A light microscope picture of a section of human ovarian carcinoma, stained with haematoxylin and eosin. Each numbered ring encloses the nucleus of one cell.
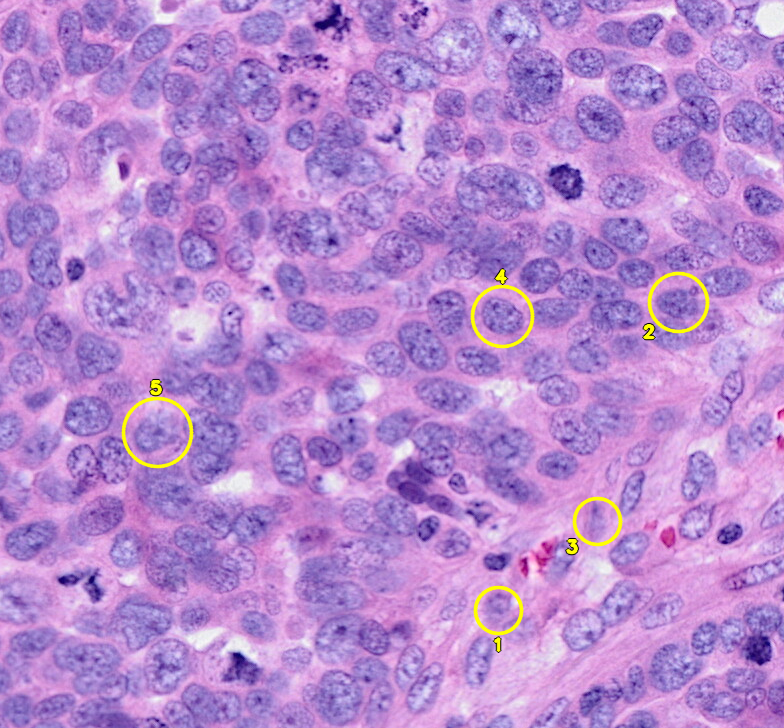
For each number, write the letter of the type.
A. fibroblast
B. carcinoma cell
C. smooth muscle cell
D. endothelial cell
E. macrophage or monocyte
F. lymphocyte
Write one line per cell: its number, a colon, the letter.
1: A
2: B
3: A
4: B
5: B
